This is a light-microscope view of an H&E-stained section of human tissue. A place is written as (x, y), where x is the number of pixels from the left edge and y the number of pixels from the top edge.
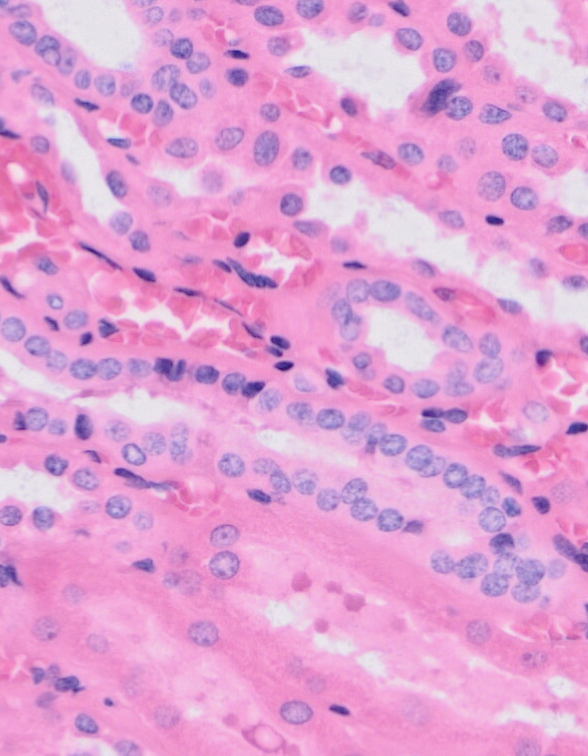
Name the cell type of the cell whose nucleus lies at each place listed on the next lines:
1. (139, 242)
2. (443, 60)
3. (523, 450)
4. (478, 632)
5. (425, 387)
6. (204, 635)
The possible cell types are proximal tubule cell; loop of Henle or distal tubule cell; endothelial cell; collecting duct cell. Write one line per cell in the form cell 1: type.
cell 1: loop of Henle or distal tubule cell
cell 2: loop of Henle or distal tubule cell
cell 3: endothelial cell
cell 4: proximal tubule cell
cell 5: collecting duct cell
cell 6: proximal tubule cell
